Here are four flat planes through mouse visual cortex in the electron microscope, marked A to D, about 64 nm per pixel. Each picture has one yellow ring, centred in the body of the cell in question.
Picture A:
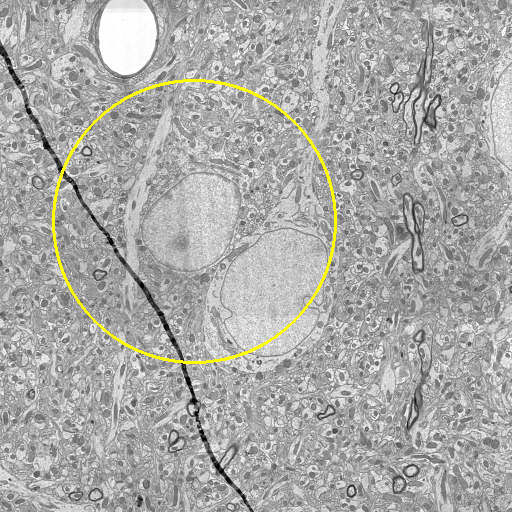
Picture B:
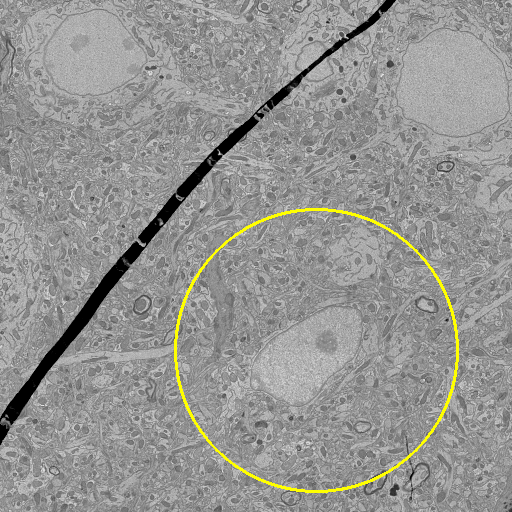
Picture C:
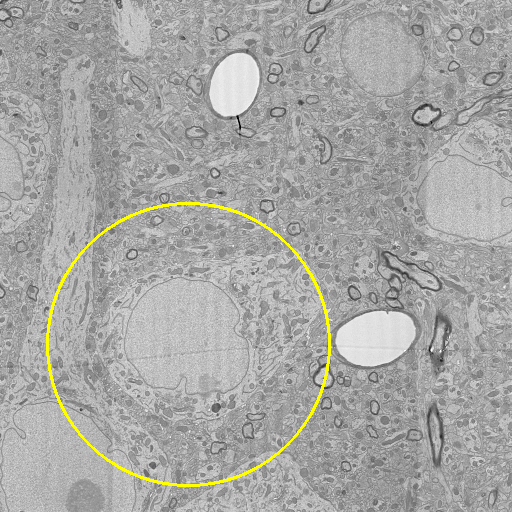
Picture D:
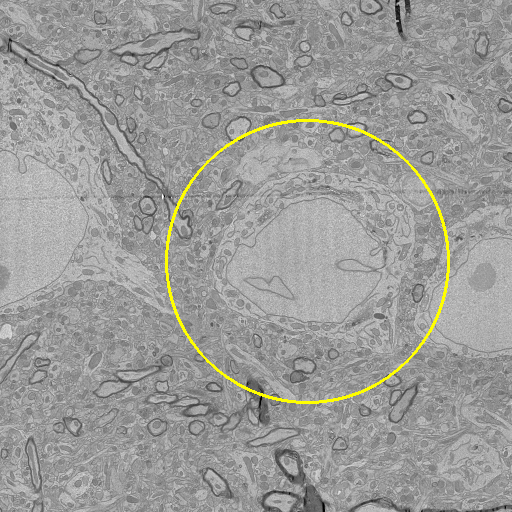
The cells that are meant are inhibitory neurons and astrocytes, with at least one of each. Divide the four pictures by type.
Pictures C and D show inhibitory neurons, and pictures A and B show astrocytes.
